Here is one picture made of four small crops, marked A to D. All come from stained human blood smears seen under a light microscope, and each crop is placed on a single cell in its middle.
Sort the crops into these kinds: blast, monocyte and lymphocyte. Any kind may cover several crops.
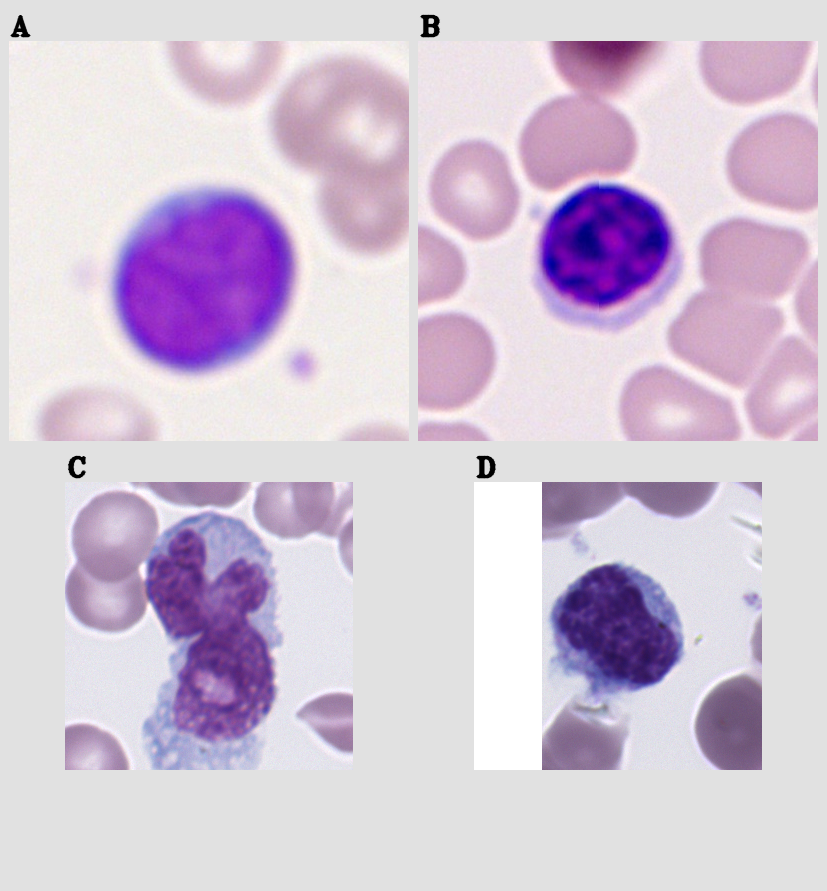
A: blast
B: lymphocyte
C: monocyte
D: monocyte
